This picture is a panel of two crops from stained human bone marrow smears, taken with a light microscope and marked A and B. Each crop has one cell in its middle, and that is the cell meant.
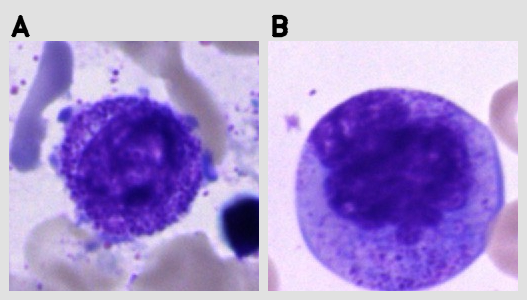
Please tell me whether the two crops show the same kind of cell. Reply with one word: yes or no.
yes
